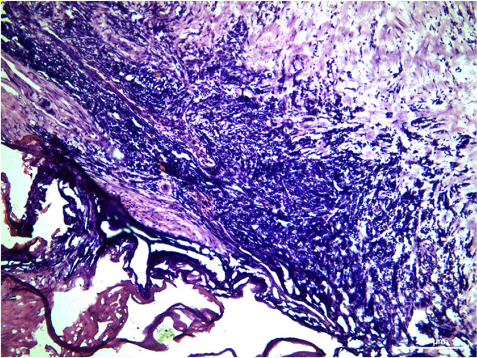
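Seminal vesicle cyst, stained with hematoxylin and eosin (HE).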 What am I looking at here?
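Toward the upper right, the cells thin out into paler pink, loosely arranged fibrous tissue with fewer nuclei. Along the lower left, a thin, wavy, deeply stained border fringes the tissue and faces an empty space. Detached pink fibrous fragments lie beyond this border.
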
